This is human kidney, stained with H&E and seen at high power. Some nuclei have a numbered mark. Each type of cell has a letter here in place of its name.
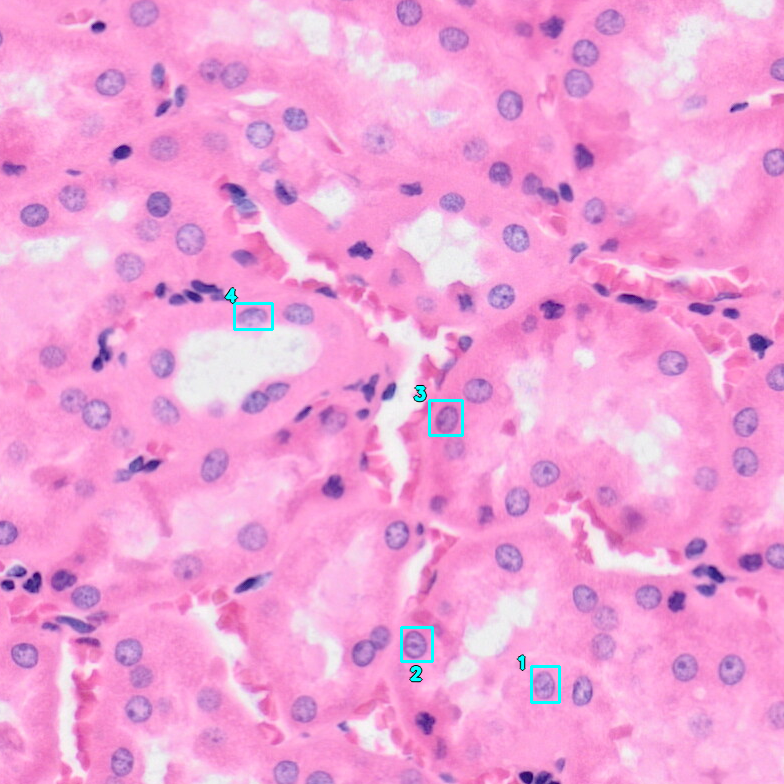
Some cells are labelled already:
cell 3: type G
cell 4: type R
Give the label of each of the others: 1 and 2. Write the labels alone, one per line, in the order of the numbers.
type G
type G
